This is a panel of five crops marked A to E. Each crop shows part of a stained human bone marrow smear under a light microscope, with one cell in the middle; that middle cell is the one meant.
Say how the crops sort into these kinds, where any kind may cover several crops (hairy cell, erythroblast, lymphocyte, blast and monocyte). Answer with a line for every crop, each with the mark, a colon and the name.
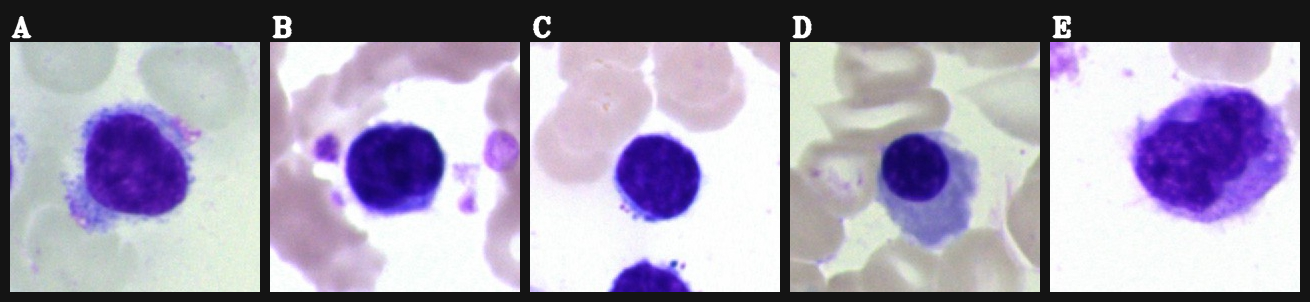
A: hairy cell
B: lymphocyte
C: lymphocyte
D: erythroblast
E: monocyte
